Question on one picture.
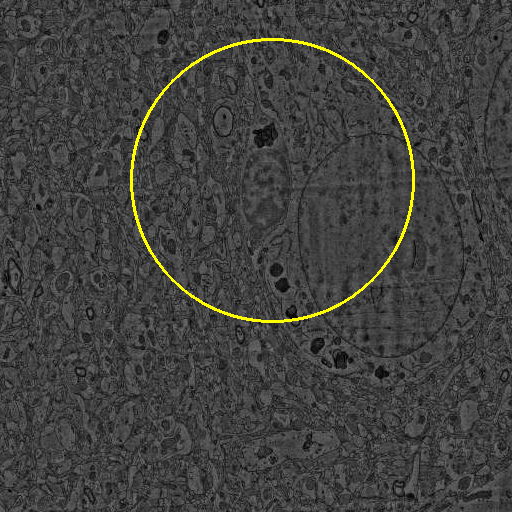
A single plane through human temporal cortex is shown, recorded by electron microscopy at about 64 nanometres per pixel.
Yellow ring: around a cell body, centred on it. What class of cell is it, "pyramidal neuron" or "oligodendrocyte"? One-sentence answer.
This is an oligodendrocyte, the cell the ring is centred on.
